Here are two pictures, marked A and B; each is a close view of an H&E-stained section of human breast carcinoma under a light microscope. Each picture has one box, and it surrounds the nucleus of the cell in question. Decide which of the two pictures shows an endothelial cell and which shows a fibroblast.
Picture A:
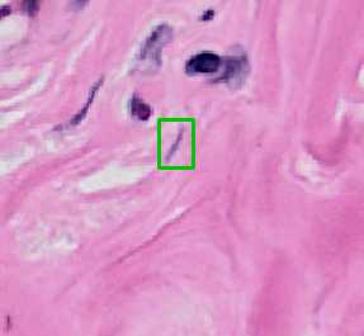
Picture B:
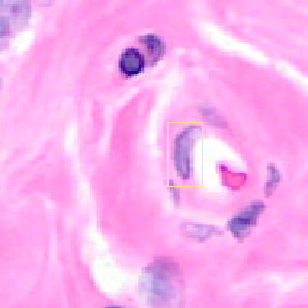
A: fibroblast
B: endothelial cell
